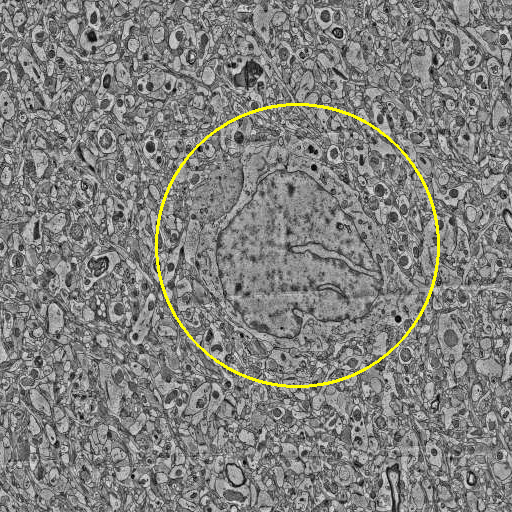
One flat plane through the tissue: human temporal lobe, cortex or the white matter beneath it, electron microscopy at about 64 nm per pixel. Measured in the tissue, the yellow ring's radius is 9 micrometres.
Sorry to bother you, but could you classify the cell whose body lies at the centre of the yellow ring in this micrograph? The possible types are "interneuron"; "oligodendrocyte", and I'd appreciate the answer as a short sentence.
The ringed cell body is that of an interneuron.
